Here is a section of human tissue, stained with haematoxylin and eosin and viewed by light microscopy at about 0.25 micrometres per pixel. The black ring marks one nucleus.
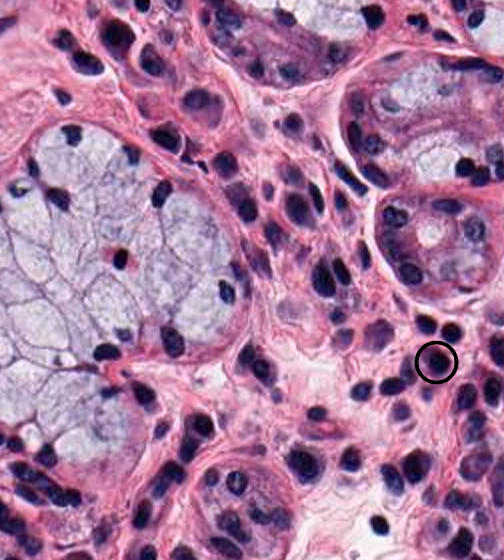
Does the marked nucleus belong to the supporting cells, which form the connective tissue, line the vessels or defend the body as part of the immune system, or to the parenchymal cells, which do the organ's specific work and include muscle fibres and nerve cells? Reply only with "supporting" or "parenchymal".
supporting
